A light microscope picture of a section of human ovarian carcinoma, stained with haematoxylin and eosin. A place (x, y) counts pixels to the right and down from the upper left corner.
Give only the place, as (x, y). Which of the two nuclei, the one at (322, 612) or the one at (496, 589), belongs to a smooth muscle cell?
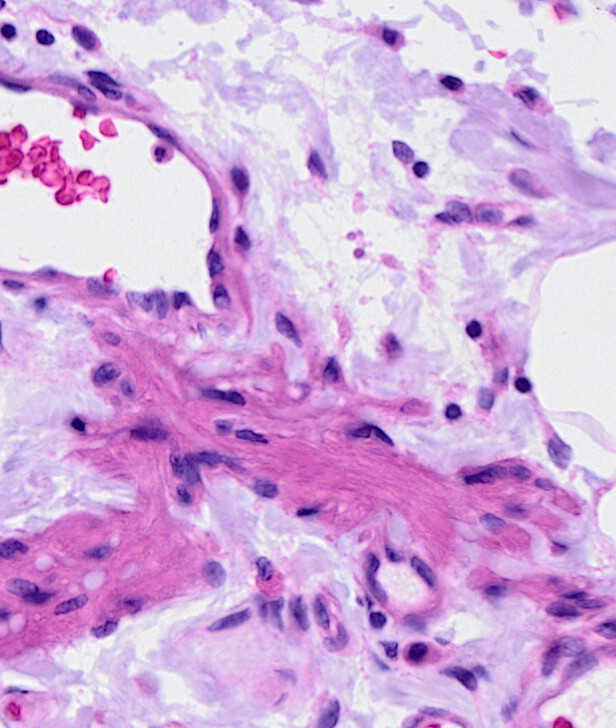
(496, 589)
